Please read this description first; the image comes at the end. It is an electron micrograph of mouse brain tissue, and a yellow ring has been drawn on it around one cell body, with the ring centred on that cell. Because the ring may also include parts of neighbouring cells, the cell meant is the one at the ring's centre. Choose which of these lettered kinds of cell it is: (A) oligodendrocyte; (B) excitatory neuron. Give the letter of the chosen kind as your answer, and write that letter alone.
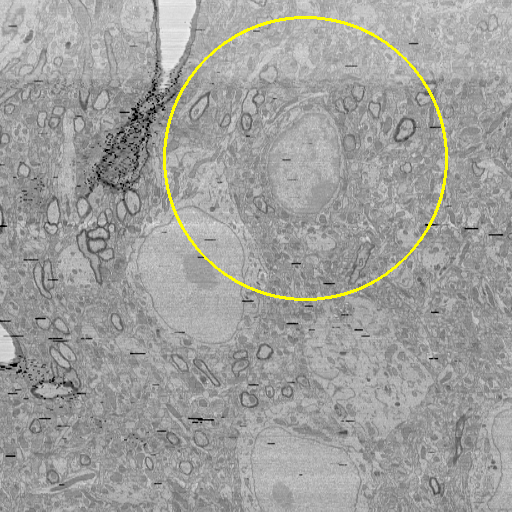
A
